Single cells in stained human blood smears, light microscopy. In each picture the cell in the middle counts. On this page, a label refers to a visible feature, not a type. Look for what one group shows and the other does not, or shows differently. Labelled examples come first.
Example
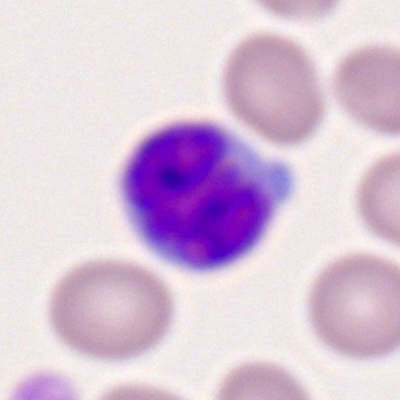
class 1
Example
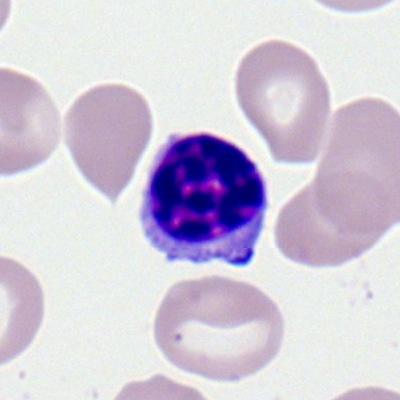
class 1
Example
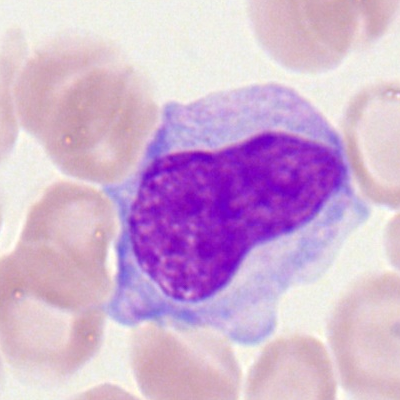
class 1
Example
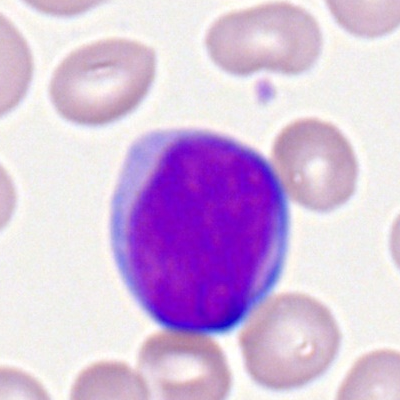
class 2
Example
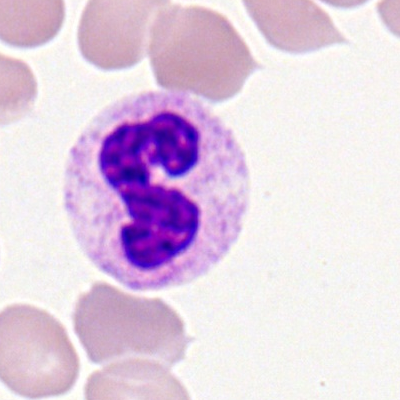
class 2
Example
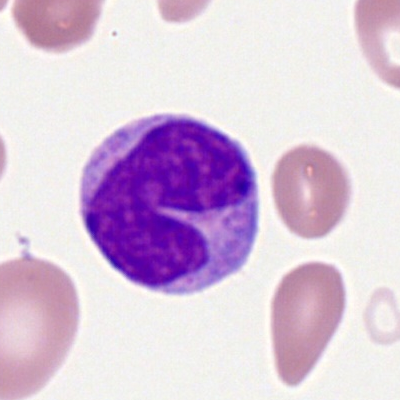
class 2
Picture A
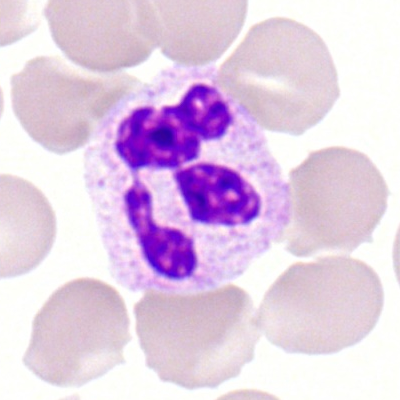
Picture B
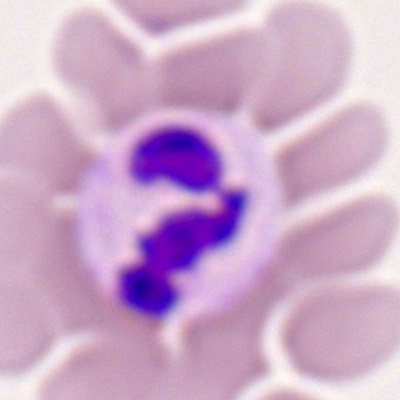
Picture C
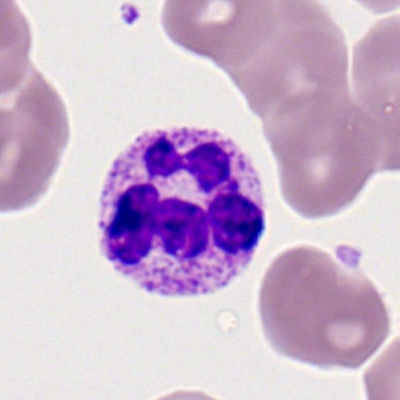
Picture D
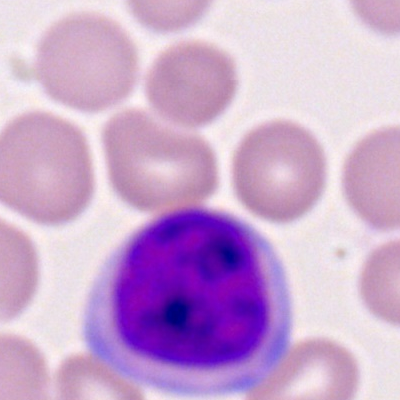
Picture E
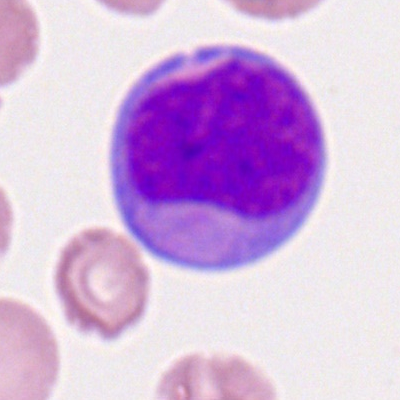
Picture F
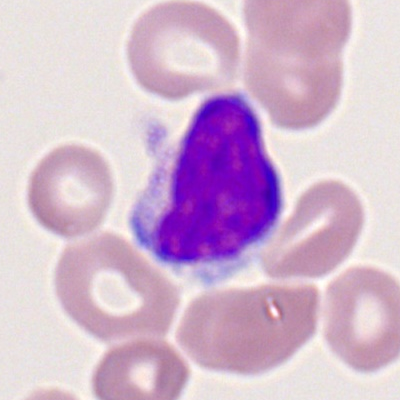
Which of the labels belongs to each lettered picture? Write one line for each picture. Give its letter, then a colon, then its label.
A: class 2
B: class 2
C: class 2
D: class 2
E: class 2
F: class 1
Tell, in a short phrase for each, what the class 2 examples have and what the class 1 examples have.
In class 2: smooth outline. In class 1: ragged outline or projections.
